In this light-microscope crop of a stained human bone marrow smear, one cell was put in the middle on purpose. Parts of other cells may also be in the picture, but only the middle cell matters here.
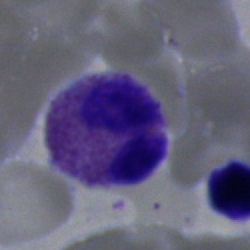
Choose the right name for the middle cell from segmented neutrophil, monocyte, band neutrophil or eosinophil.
eosinophil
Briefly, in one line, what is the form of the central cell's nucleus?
We find a nucleus divided into at least two lobes.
